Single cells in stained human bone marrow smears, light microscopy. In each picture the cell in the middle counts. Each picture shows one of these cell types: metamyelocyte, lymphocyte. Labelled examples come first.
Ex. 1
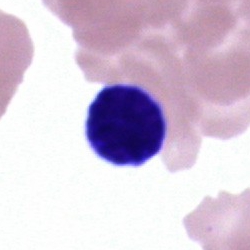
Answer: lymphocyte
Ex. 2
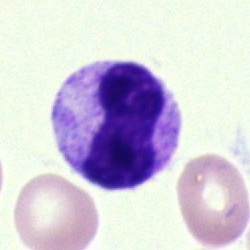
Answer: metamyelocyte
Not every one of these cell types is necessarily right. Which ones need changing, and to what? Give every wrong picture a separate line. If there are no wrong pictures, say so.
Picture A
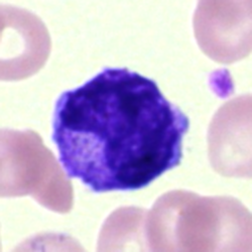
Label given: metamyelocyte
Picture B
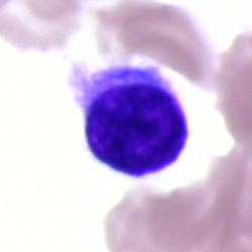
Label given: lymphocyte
No label is wrong.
